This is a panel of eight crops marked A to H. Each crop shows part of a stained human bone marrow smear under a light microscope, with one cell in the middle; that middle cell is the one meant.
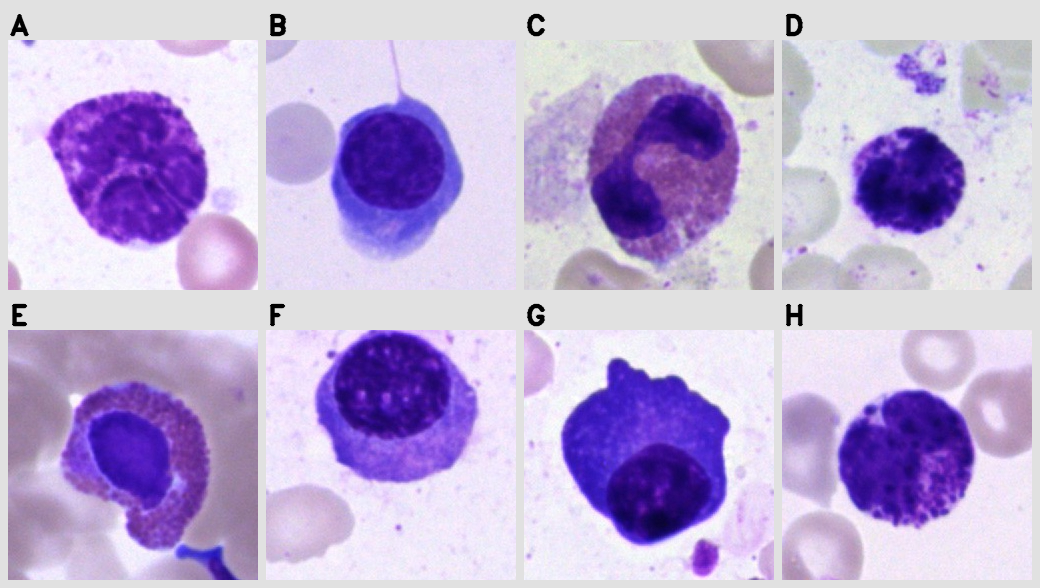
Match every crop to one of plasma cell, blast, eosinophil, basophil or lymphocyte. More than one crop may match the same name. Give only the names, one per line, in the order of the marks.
basophil
plasma cell
eosinophil
basophil
eosinophil
plasma cell
plasma cell
basophil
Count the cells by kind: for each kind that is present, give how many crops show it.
basophil: 3
plasma cell: 3
eosinophil: 2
